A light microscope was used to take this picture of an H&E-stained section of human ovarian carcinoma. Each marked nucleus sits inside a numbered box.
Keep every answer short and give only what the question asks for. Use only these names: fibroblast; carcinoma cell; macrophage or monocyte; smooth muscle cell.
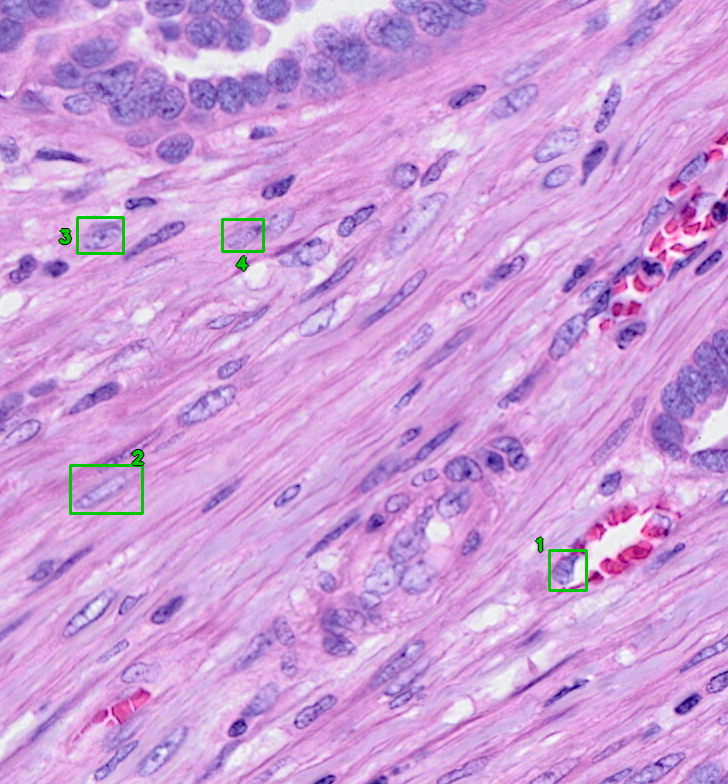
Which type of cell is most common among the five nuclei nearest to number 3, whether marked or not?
macrophage or monocyte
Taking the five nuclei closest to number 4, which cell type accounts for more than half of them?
fibroblast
